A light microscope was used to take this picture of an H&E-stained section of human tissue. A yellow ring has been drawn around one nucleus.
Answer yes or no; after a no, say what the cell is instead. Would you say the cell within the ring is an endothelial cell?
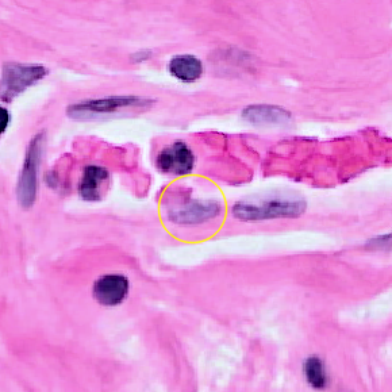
Yes.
